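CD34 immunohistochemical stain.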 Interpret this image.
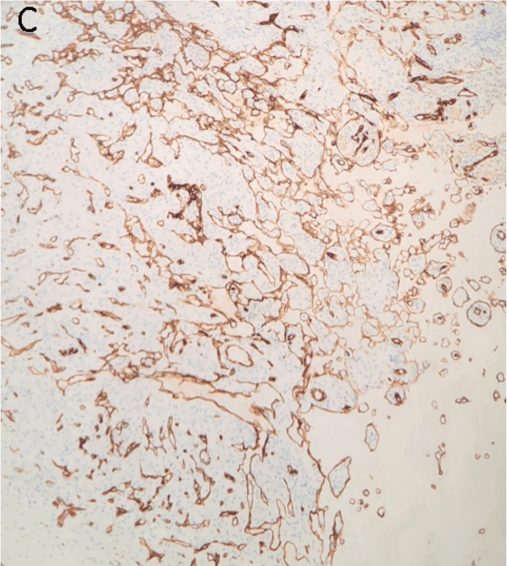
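Thin brown lines outline a dense meshwork of anastomosing narrow channels and cover the surfaces of rounded papillae, showing that a single layer of lining cells covers them. The cores of the papillae and the intervening stroma remain pale and unstained. Toward one side, many small round profiles are each ringed by a brown lining, some containing a central small vessel. The brown-lined cells are flat and thin, with no heaping up into solid cellular masses.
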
